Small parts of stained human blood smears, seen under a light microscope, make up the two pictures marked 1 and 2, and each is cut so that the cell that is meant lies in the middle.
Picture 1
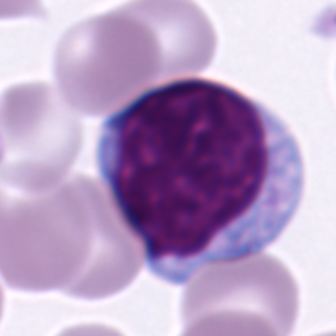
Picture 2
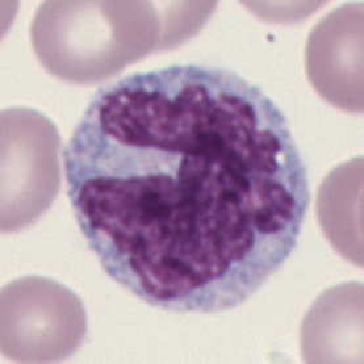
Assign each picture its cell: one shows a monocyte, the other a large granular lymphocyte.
1: large granular lymphocyte
2: monocyte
